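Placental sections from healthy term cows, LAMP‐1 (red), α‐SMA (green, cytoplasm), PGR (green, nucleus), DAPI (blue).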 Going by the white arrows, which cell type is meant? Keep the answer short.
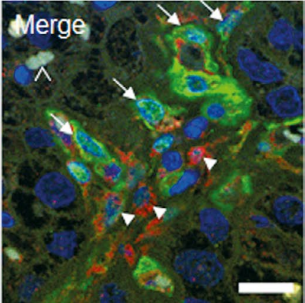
Myofibroblasts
